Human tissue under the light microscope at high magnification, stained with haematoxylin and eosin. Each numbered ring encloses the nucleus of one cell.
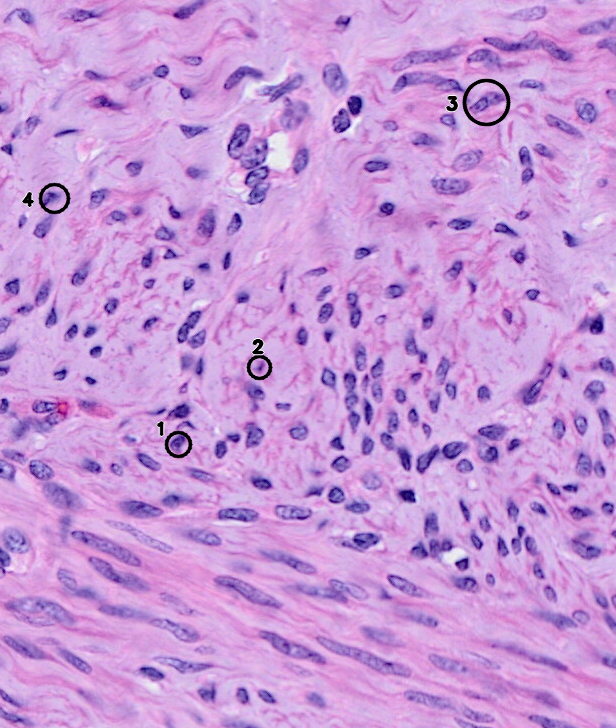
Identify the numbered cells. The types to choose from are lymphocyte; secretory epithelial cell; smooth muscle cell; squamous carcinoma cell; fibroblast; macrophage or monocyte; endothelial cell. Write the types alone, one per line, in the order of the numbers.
smooth muscle cell
smooth muscle cell
smooth muscle cell
fibroblast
